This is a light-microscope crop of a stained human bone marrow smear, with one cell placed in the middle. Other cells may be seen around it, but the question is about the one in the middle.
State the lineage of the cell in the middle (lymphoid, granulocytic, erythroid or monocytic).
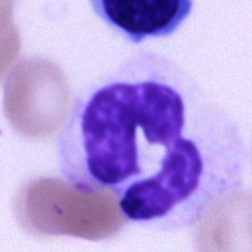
granulocytic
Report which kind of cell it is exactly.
segmented neutrophil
